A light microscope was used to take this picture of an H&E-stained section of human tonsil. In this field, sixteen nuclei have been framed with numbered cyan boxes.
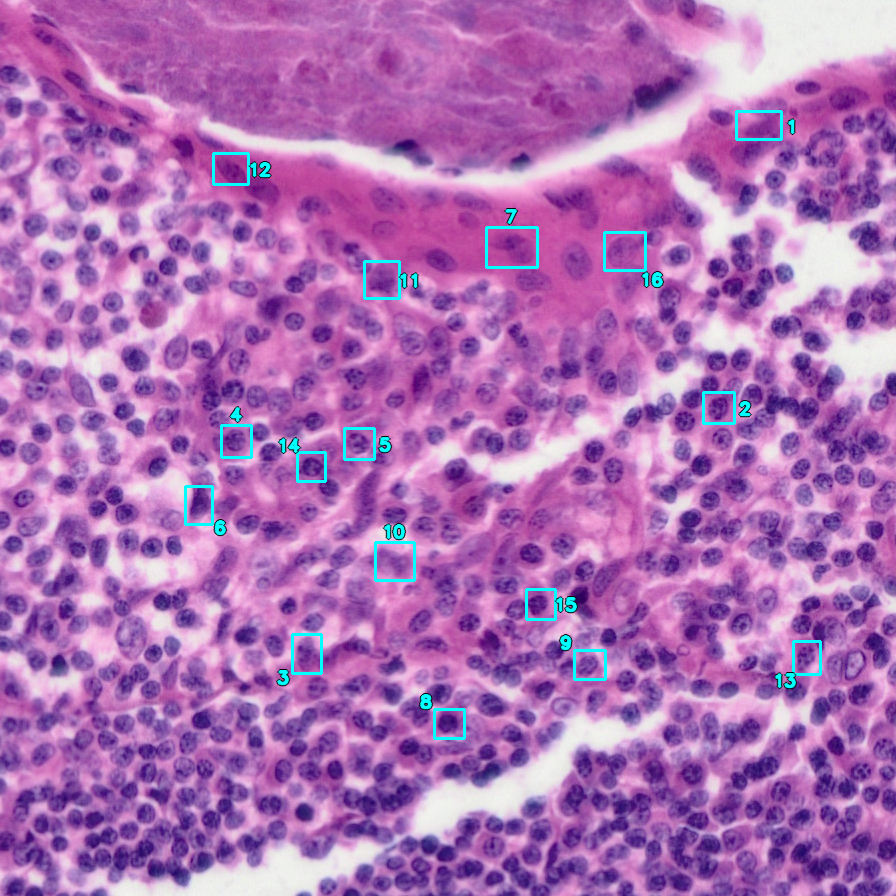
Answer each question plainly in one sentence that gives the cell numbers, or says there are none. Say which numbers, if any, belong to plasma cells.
The cells with numbers 2, 4, 5, 8, 9, 13, 14 and 15 are plasma cells by type.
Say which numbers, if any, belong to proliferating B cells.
In this section, none of the numbered cells are proliferating B cells.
